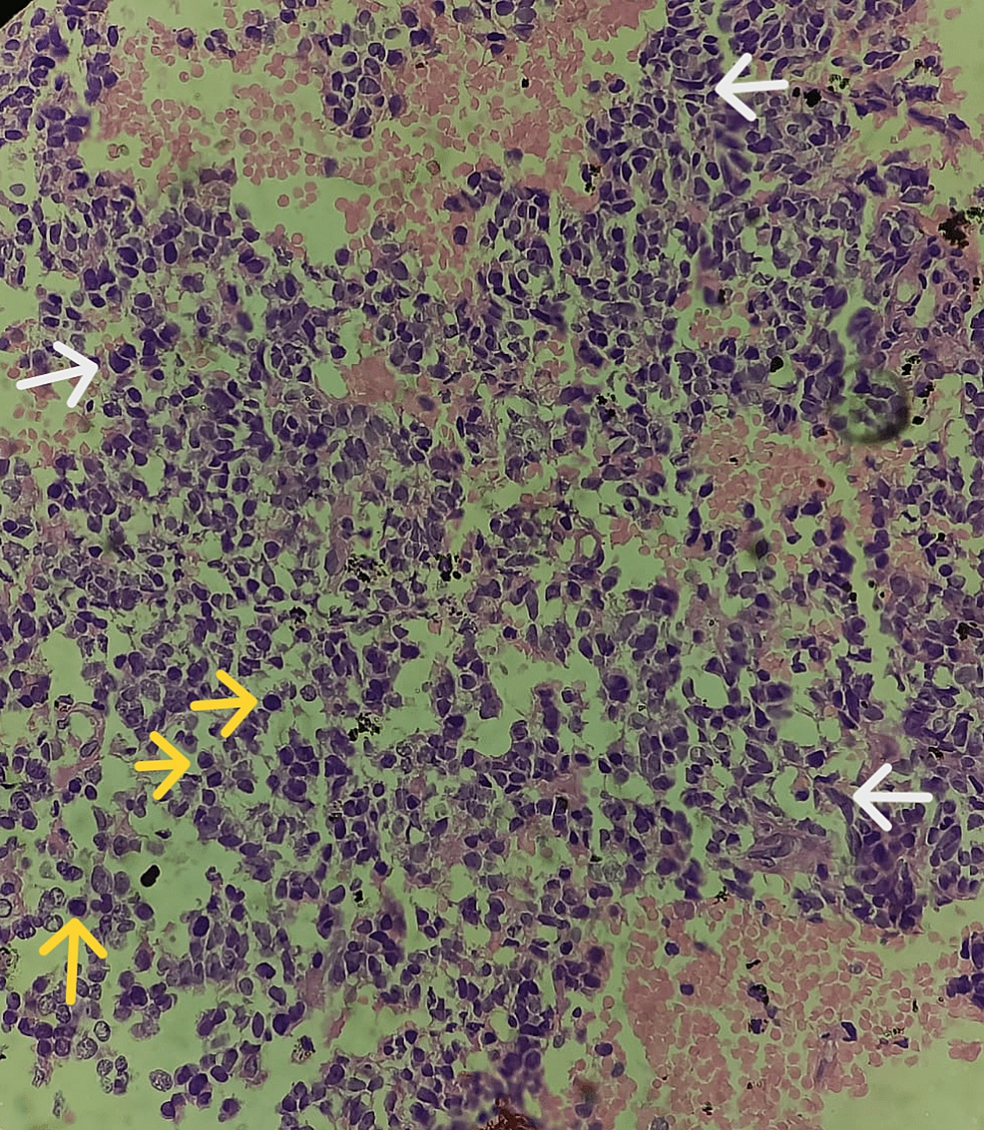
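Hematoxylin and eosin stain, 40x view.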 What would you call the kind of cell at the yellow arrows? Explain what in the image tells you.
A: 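Small round cells with dark blue-purple nuclei. Very scant cytoplasm around the nuclei. Cells lie loosely in sheets among red blood cells. So: round blue cell tumors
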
